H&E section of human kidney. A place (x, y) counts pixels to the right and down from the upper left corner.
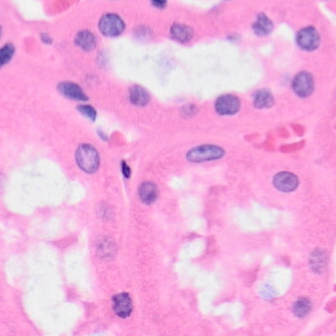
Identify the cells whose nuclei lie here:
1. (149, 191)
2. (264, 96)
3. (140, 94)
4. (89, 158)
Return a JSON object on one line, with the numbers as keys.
{"1": "proximal tubule cell", "2": "loop of Henle or distal tubule cell", "3": "loop of Henle or distal tubule cell", "4": "proximal tubule cell"}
